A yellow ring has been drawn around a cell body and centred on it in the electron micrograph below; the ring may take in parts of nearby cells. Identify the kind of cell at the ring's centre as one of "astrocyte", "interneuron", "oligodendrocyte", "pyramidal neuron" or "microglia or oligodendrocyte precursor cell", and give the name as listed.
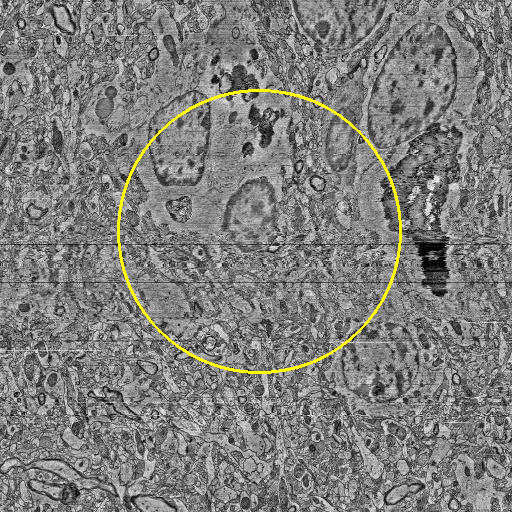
oligodendrocyte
